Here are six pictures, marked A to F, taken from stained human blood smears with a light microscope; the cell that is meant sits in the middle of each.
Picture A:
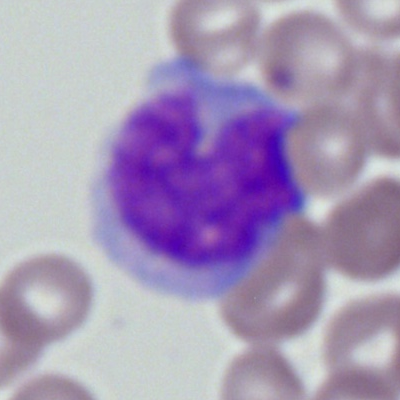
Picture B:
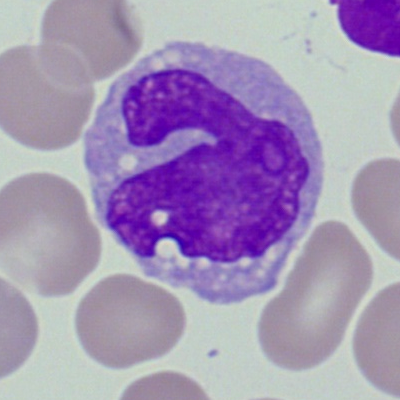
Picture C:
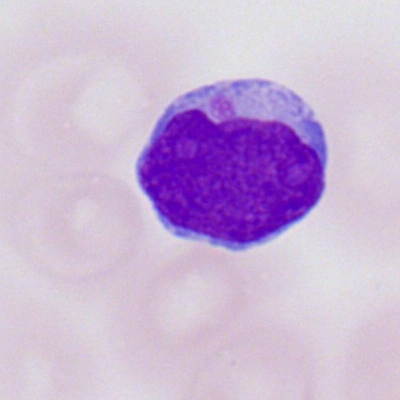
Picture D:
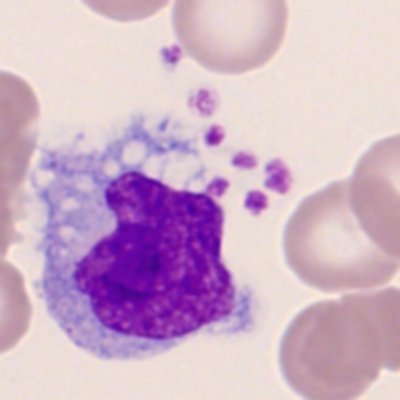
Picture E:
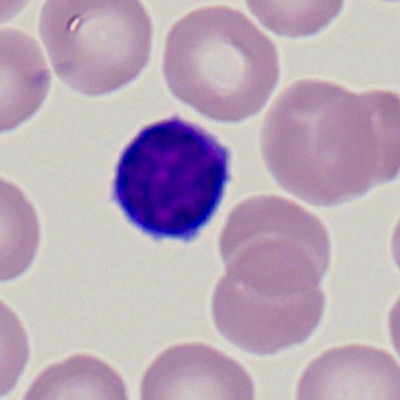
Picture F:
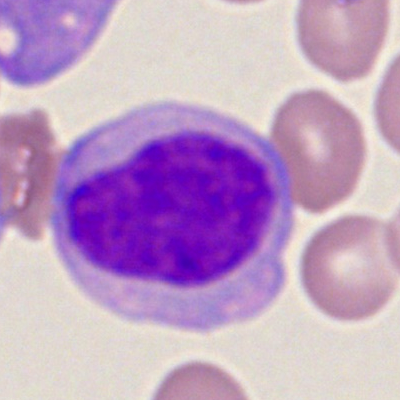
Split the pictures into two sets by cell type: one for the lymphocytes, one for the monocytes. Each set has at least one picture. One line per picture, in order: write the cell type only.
monocyte
monocyte
lymphocyte
monocyte
lymphocyte
monocyte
